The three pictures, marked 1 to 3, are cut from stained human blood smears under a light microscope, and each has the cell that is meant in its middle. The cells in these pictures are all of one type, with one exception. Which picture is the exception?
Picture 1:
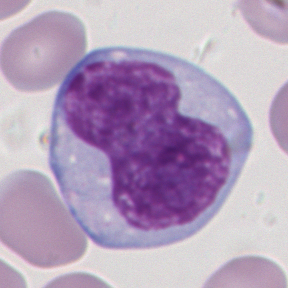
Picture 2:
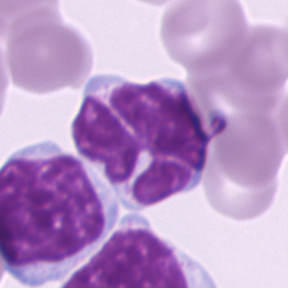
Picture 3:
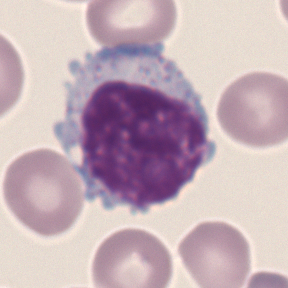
1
